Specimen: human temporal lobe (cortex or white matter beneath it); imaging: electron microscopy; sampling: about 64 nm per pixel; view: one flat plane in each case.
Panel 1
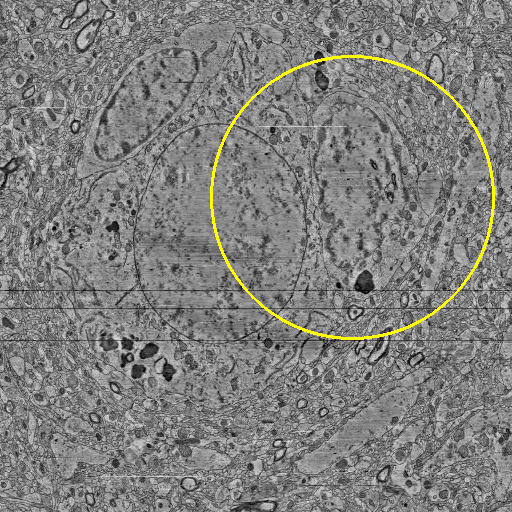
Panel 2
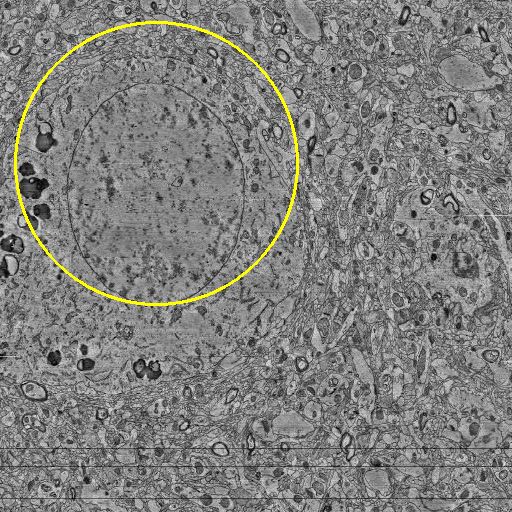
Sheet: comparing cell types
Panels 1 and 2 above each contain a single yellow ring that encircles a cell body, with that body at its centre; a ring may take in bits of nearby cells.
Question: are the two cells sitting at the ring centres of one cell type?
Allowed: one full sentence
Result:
No, the ring-centre cells in Panel 1 and Panel 2 are of two types.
